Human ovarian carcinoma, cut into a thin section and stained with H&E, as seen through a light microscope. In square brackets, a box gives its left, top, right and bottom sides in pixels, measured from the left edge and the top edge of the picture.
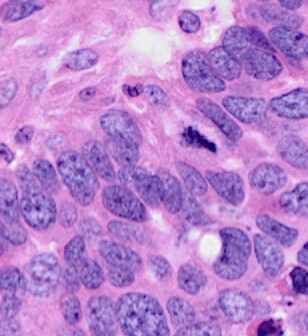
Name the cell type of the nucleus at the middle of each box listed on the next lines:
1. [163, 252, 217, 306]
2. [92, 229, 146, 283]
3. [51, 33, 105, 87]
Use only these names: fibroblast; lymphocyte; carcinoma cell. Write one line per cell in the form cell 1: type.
cell 1: carcinoma cell
cell 2: carcinoma cell
cell 3: fibroblast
